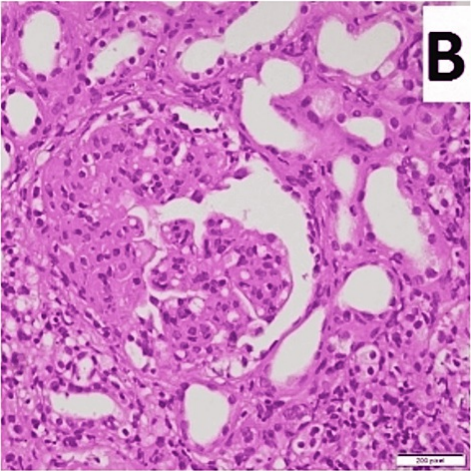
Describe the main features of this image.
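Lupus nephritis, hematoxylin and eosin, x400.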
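A kidney glomerulus with a cellular crescent is shown. On the left side, a layered mass of plump cells with oval nuclei and pink cytoplasm fills the space inside the capsule and compresses the capillary tuft. The remaining tuft is small and cellular, with a clear space beside it. Around the glomerulus, many tubules with open, pale lumens and flattened lining cells are seen, and the interstitium between them contains numerous scattered nuclei.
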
